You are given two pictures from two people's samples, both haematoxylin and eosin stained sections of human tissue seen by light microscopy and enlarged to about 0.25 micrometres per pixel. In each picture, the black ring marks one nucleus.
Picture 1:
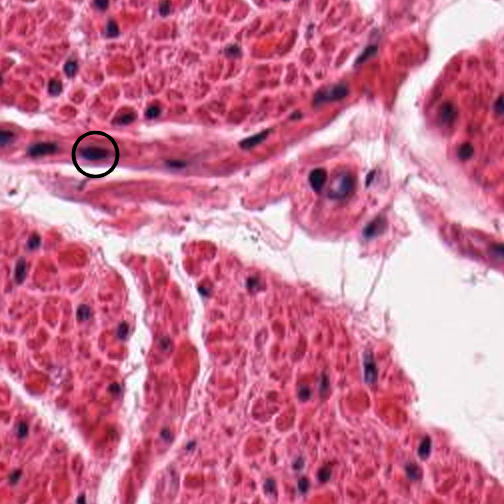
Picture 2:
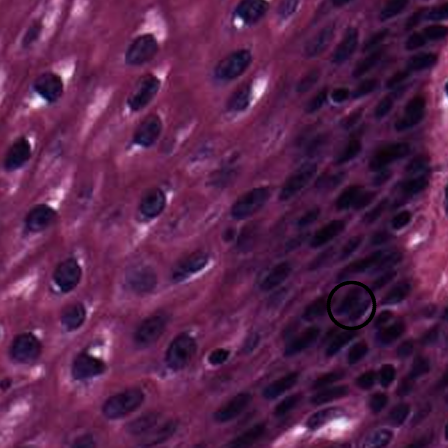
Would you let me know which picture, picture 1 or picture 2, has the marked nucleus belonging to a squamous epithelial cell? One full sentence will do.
Picture 2 has its marked nucleus belonging to a squamous epithelial cell; the other picture does not.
